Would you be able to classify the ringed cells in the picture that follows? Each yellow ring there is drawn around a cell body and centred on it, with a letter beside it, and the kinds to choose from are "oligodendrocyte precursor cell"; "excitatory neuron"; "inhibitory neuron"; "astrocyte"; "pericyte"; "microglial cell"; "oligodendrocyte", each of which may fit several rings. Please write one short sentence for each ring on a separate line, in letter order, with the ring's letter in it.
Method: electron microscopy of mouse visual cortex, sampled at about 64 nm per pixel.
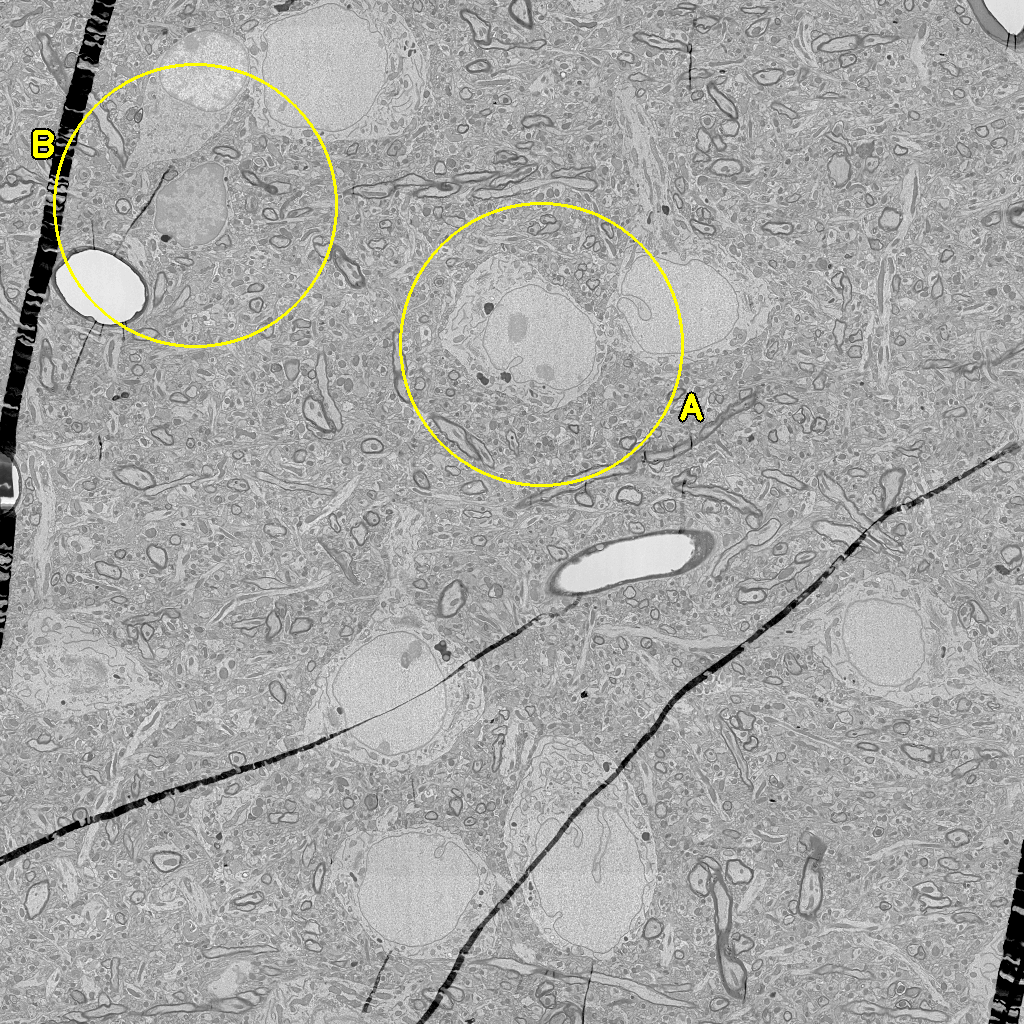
The cell body at the centre of ring A belongs to an excitatory neuron.
The cell body at the centre of ring B belongs to a microglial cell.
